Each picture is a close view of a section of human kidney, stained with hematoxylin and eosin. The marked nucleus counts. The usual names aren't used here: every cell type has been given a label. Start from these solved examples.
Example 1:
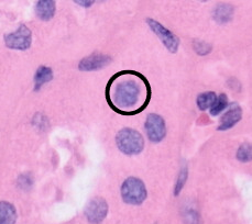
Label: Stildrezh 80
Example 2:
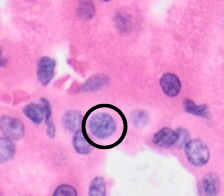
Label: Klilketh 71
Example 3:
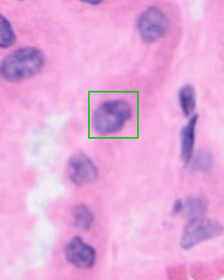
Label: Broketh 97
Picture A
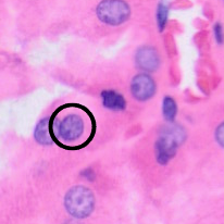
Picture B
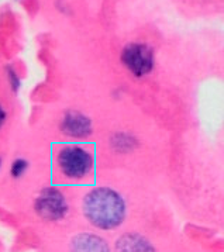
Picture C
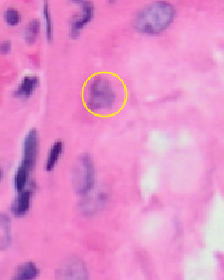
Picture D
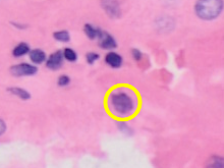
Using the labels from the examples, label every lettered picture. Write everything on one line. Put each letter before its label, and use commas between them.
A Broketh 97, B Stildrezh 80, C Broketh 97, D Broketh 97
